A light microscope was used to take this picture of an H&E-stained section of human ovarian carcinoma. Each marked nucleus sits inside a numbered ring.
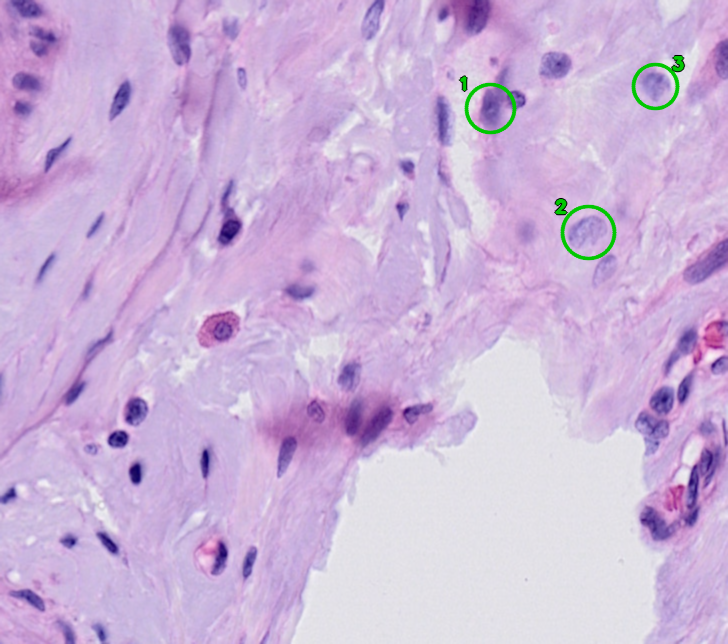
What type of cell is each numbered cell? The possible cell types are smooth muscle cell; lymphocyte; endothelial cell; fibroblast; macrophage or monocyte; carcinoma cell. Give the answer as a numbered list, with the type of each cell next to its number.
1. endothelial cell
2. fibroblast
3. fibroblast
